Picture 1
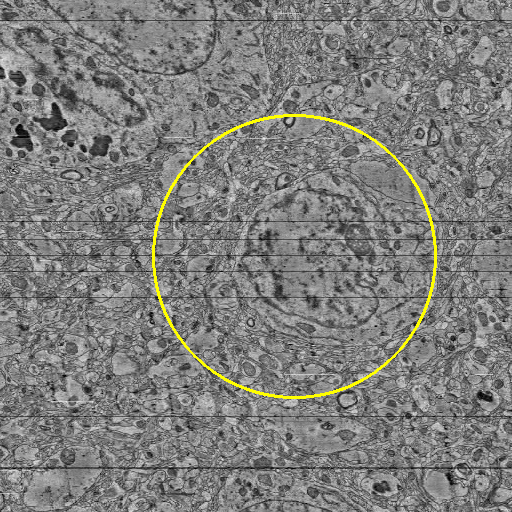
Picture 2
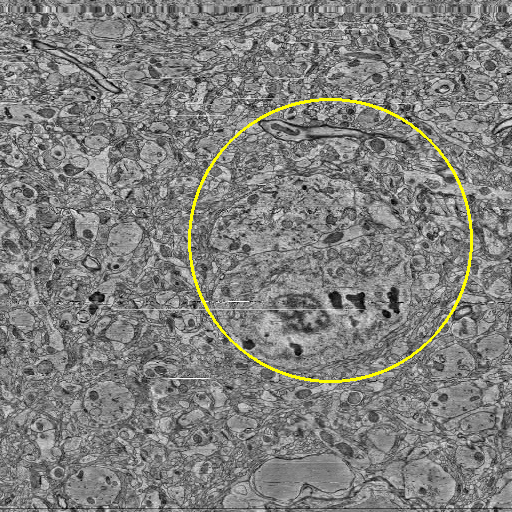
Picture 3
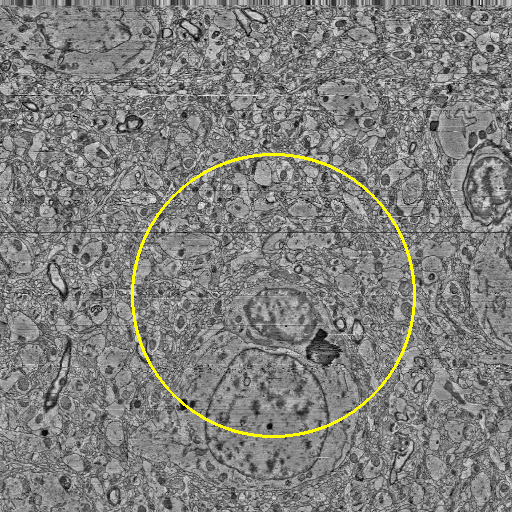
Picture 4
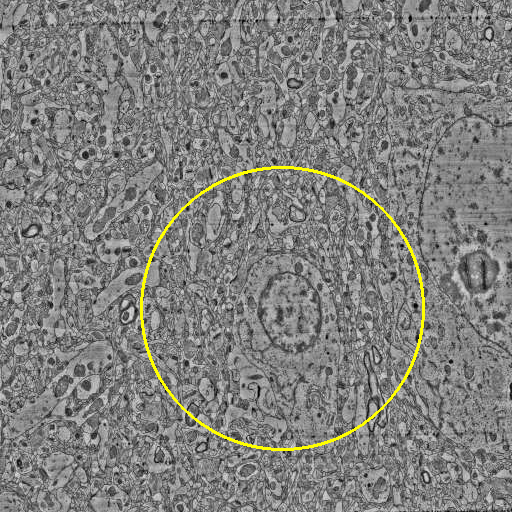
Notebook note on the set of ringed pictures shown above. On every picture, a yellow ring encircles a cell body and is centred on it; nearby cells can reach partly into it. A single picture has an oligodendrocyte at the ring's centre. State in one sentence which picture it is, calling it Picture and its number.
Picture 3 is the one whose ring is centred on the sought cell.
